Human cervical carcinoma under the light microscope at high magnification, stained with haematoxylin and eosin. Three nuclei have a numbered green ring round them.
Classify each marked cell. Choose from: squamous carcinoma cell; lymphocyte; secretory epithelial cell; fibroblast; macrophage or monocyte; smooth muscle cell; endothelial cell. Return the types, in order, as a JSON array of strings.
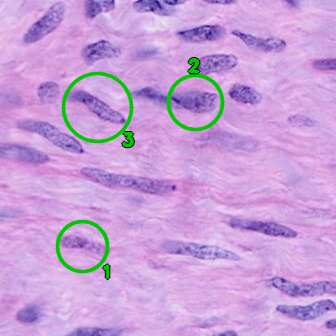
["smooth muscle cell", "fibroblast", "smooth muscle cell"]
